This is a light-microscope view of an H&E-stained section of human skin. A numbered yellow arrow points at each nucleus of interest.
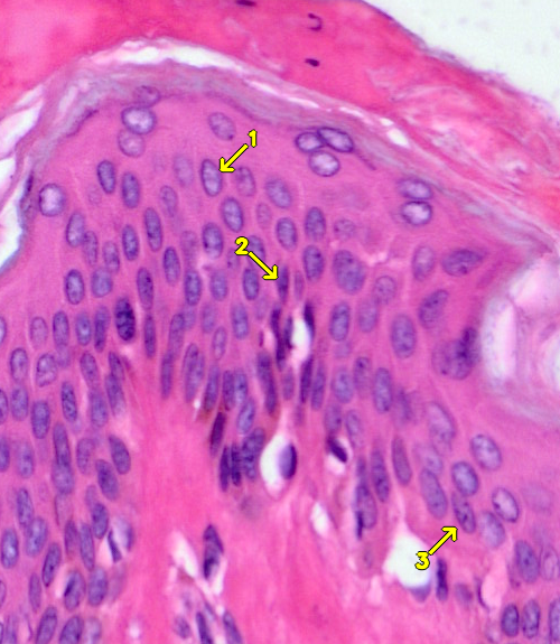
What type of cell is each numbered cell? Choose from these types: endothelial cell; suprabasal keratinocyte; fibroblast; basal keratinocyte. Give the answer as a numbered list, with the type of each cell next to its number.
1. suprabasal keratinocyte
2. basal keratinocyte
3. basal keratinocyte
